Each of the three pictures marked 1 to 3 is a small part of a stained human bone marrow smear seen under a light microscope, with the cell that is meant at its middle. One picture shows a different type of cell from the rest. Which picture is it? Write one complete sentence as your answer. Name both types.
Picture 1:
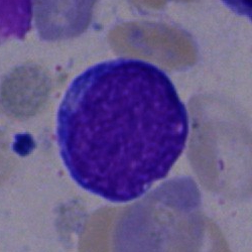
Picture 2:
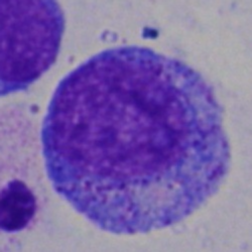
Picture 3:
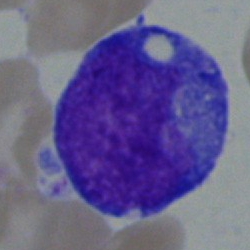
Picture 2 differs, because its cell is a promyelocyte and the rest are blasts.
